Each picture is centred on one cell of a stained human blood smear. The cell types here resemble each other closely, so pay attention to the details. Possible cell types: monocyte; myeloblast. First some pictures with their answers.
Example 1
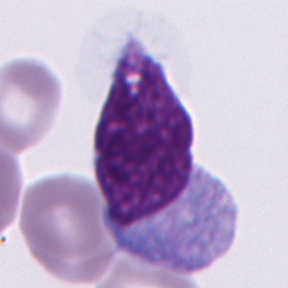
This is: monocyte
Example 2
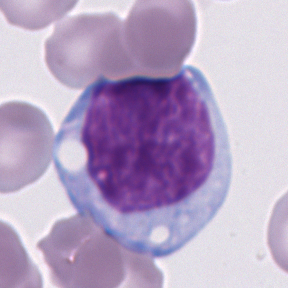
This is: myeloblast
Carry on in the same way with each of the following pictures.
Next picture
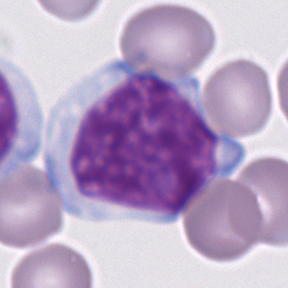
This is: myeloblast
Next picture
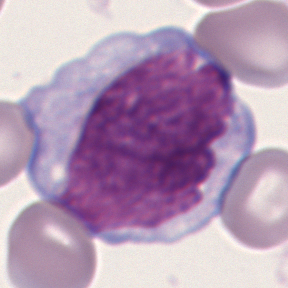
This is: monocyte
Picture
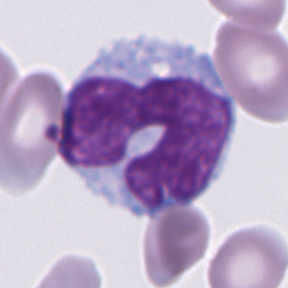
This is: monocyte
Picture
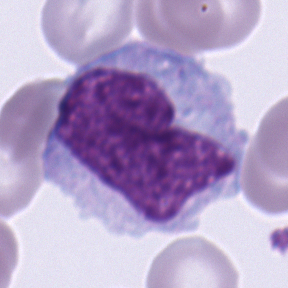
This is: monocyte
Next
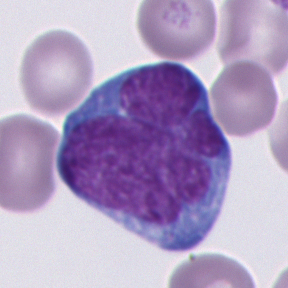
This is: myeloblast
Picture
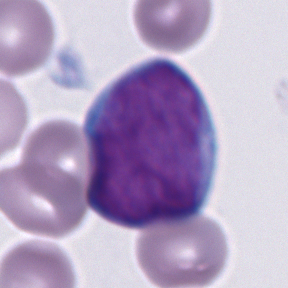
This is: myeloblast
